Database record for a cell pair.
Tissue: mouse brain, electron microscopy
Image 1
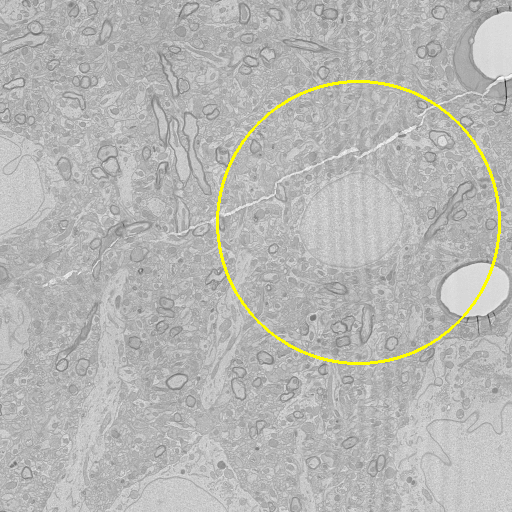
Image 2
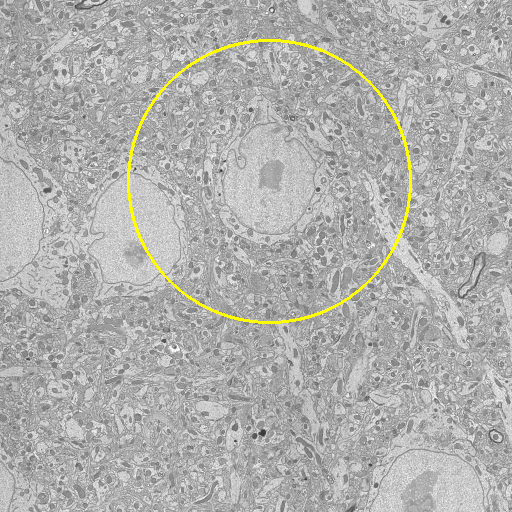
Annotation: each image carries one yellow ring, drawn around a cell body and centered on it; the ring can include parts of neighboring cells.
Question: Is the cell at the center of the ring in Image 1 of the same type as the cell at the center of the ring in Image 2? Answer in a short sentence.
No, the cells are of two types.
